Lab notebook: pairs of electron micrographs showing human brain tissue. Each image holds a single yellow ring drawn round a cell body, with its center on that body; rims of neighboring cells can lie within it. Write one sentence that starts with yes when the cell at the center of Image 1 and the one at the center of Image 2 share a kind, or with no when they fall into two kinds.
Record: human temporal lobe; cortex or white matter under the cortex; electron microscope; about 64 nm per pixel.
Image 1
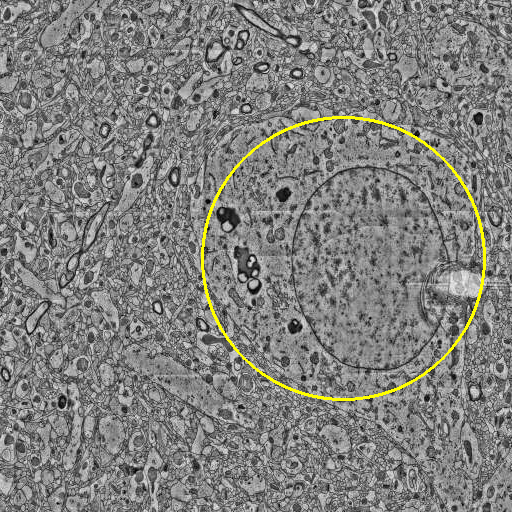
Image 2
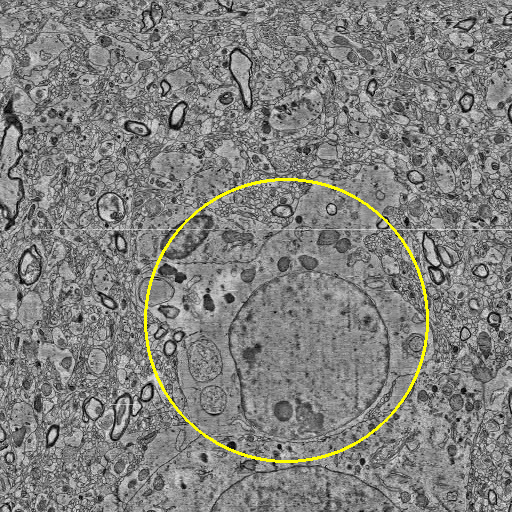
No, the centered cell in Image 1 and the centered cell in Image 2 are of two kinds.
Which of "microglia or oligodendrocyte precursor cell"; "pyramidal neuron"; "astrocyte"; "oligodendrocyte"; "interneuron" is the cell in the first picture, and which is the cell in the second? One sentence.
The two differ: the first cell is a pyramidal neuron and the second is an astrocyte.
